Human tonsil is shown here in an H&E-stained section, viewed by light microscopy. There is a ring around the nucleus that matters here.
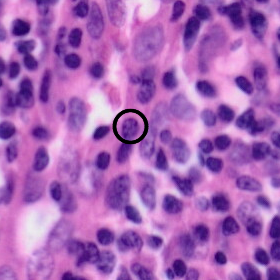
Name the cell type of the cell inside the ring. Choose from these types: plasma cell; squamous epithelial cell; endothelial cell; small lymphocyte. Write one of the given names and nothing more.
endothelial cell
